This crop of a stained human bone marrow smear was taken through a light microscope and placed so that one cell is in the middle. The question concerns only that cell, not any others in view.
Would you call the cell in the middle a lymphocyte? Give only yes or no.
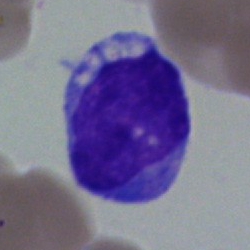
no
